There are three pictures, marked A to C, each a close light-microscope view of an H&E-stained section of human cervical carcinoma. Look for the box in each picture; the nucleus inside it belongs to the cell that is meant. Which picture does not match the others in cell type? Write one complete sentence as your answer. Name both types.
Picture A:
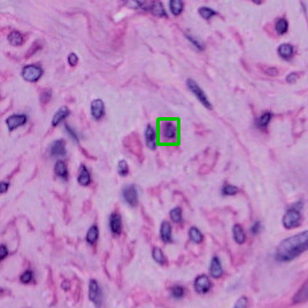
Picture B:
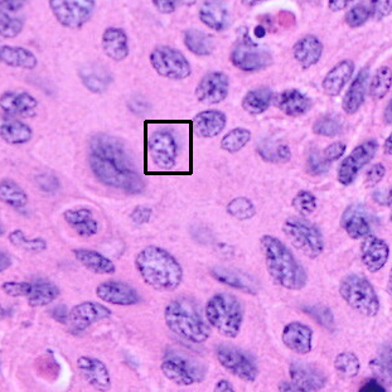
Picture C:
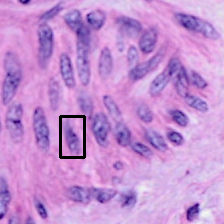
Picture B differs, because its cell is a squamous carcinoma cell and the rest are smooth muscle cells.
